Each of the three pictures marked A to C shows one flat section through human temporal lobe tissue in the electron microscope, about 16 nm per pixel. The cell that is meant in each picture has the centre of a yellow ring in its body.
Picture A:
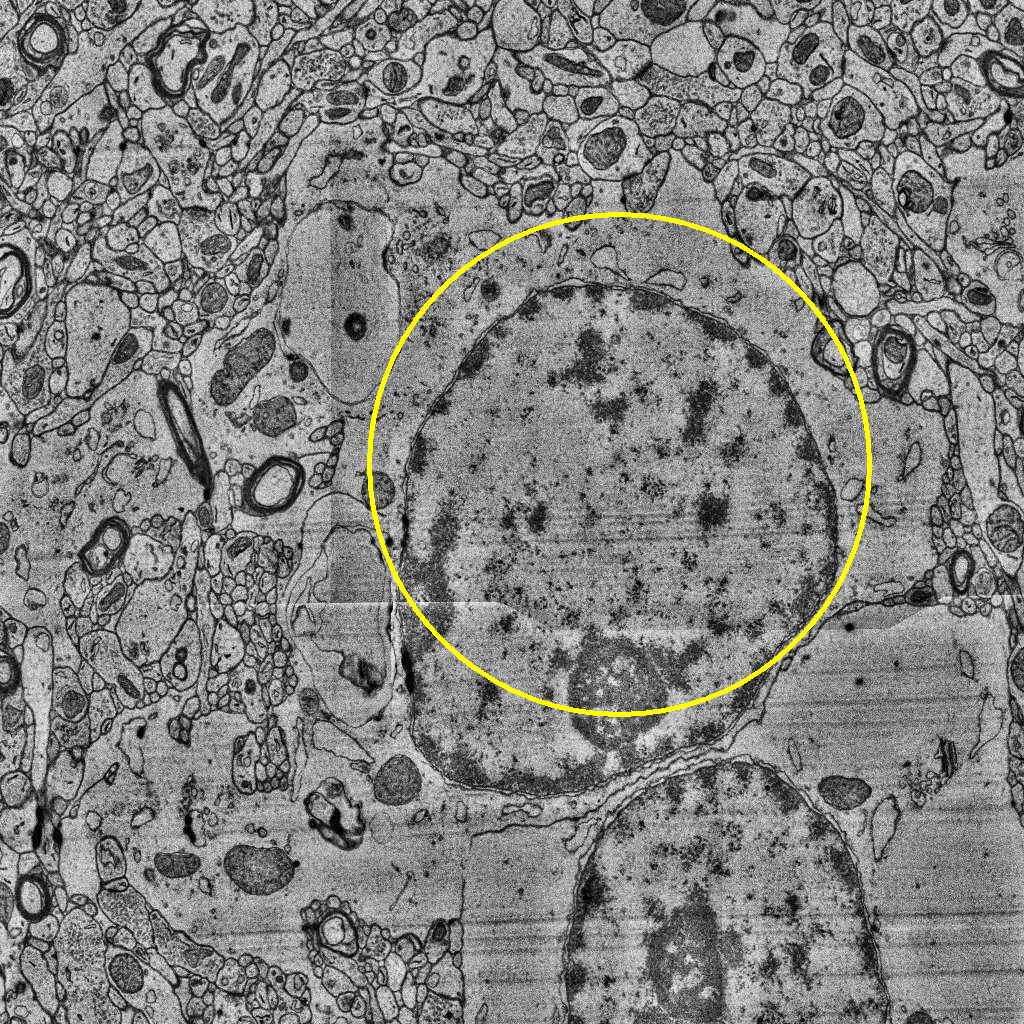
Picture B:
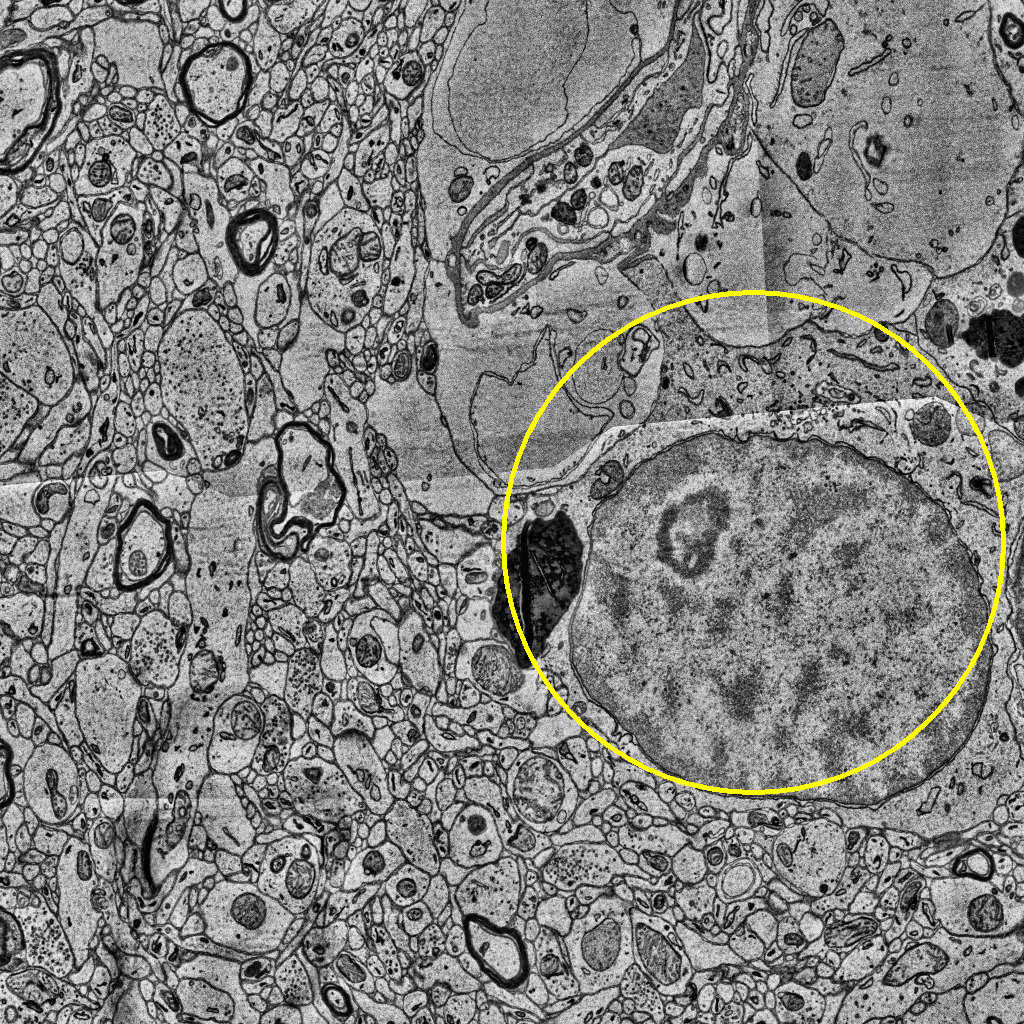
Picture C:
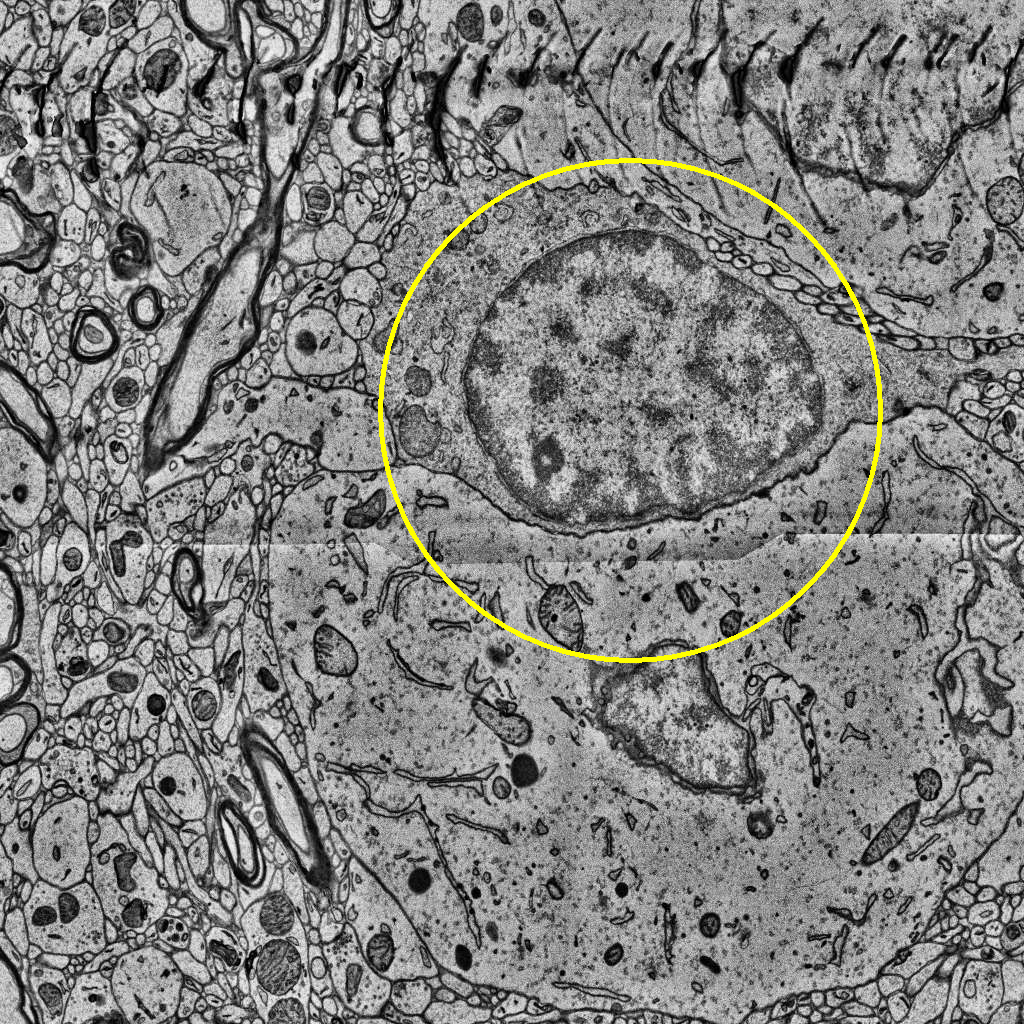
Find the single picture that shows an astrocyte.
Picture A is the one that shows the astrocyte.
